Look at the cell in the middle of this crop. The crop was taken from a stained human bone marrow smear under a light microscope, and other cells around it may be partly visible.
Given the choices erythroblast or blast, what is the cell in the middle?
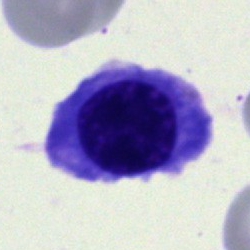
erythroblast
